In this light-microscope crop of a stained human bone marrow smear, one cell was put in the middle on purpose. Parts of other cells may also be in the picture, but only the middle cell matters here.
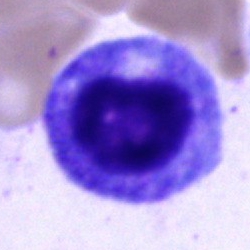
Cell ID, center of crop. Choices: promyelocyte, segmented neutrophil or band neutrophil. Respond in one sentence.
What the crop centres on is a promyelocyte.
